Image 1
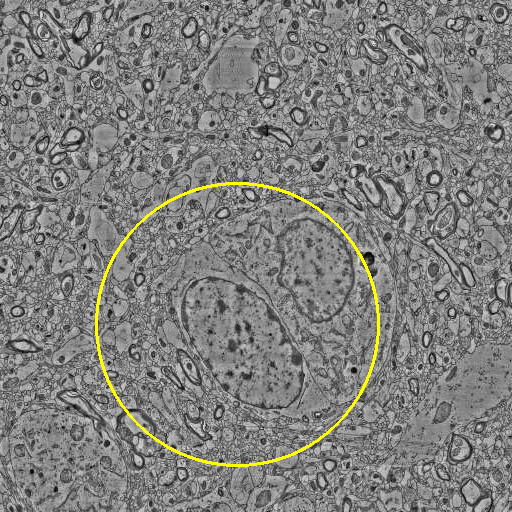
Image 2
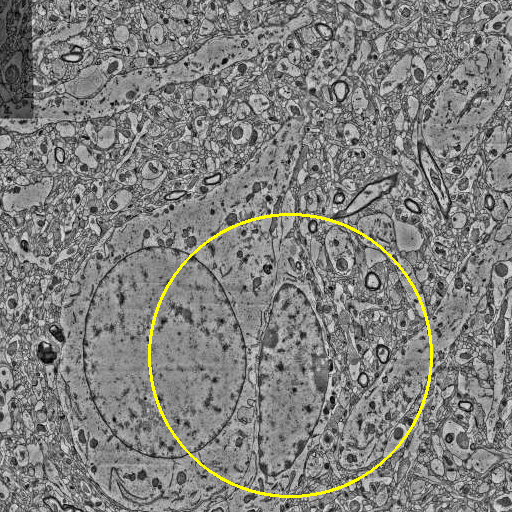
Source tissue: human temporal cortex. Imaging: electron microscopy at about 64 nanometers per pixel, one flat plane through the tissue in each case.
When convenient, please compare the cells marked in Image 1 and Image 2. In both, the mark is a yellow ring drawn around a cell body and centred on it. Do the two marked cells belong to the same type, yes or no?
yes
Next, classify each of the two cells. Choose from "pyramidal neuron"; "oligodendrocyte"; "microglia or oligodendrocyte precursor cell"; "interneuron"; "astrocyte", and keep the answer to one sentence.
The cell in the first picture is a microglial cell or oligodendrocyte precursor cell, and so is the one in the second.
